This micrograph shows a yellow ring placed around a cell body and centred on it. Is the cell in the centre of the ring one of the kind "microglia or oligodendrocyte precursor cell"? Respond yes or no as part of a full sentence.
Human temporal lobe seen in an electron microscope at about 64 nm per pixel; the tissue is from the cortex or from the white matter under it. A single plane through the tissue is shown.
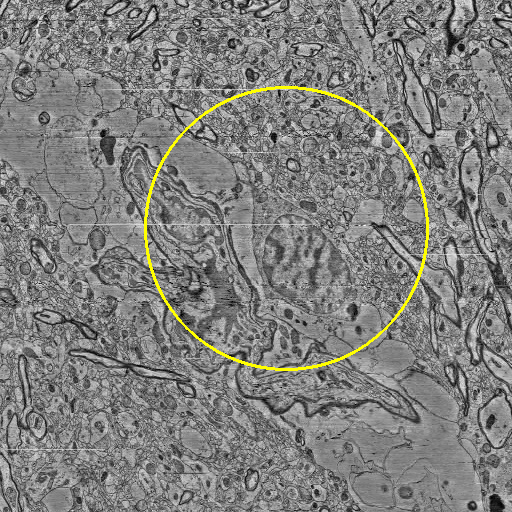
No, the cell in the centre of the ring within the picture belongs to another kind.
